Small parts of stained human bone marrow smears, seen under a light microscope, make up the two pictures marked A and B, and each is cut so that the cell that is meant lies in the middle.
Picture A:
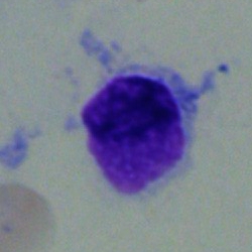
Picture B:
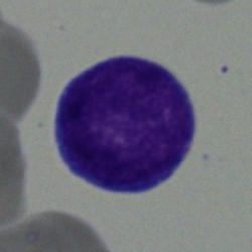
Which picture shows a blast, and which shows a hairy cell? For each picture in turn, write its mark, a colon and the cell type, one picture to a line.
A: hairy cell
B: blast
